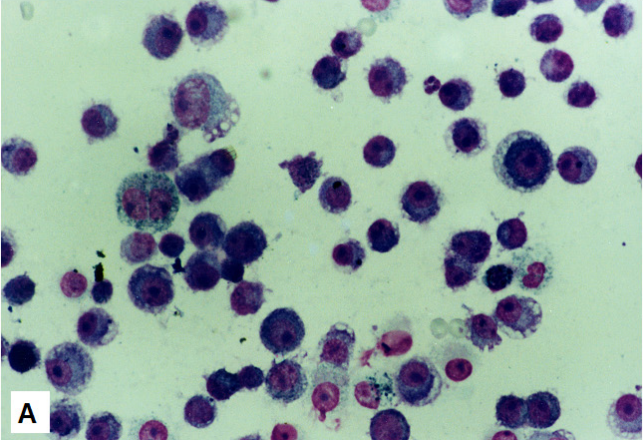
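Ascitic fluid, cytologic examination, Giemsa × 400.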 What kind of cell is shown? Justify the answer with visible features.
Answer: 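Many dispersed, rounded cells of varying size. Several large cells with enlarged, dark-purple nuclei and prominent nucleoli. A binucleated large cell with vacuolated blue-grey cytoplasm.
Conclusion: malignant cells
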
